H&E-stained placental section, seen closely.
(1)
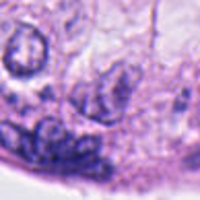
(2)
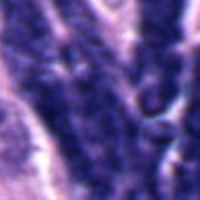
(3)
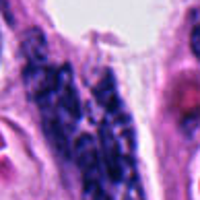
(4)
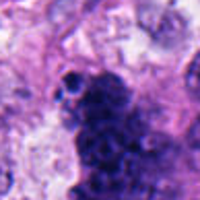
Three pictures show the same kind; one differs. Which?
Picture 1: a cytotrophoblast, while the others are syncytial knots.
